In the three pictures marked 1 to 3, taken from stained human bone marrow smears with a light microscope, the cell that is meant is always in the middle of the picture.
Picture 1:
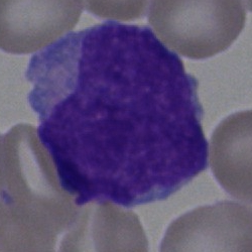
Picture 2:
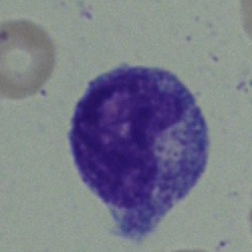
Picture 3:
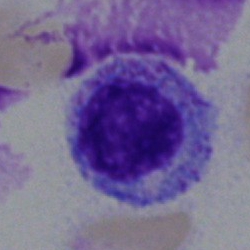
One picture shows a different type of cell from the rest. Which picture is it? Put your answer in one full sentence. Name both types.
Unlike the rest, which show myelocytes, picture 1 shows a blast.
